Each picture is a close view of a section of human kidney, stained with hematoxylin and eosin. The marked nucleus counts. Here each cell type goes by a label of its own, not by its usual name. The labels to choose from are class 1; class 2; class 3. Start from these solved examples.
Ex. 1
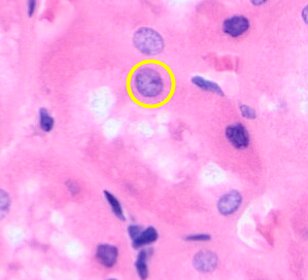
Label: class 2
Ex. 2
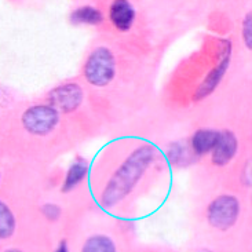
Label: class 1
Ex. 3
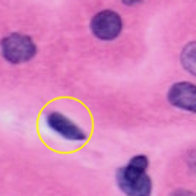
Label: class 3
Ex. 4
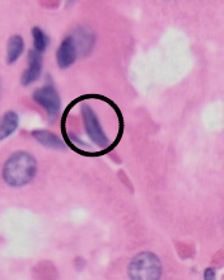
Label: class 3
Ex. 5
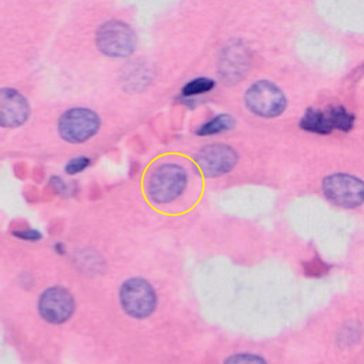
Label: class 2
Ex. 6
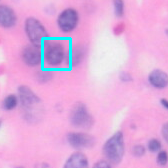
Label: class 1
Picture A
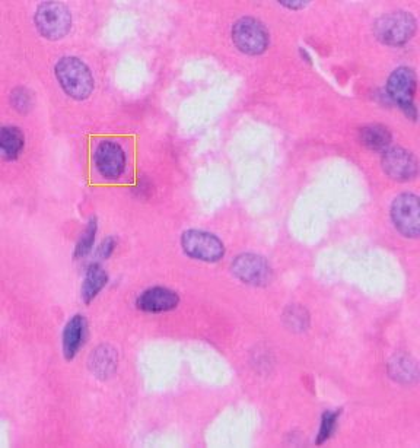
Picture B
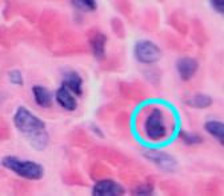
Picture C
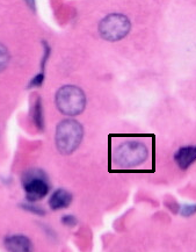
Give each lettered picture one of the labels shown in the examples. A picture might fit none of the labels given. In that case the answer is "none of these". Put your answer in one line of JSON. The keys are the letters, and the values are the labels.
{"A": "class 2", "B": "class 3", "C": "class 2"}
